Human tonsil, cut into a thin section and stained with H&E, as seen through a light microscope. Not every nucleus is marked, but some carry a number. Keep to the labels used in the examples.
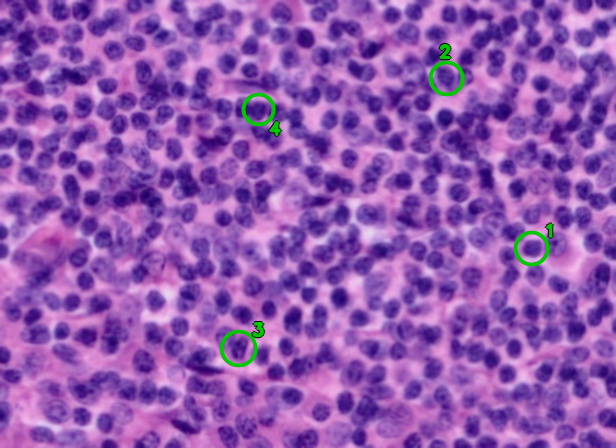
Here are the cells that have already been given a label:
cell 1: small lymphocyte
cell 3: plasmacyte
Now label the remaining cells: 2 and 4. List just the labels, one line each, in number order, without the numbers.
small lymphocyte
small lymphocyte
